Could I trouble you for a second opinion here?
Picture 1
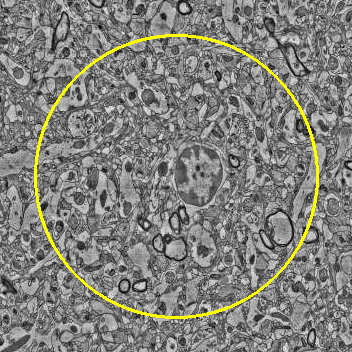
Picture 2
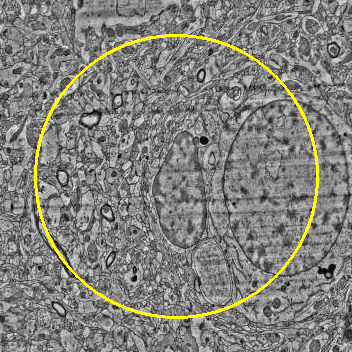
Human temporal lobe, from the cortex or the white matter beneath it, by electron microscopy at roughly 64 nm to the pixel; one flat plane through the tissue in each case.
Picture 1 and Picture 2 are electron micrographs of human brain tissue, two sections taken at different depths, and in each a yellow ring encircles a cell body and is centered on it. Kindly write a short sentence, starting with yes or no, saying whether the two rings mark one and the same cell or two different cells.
No, two cells, not one, are marked by the yellow rings.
